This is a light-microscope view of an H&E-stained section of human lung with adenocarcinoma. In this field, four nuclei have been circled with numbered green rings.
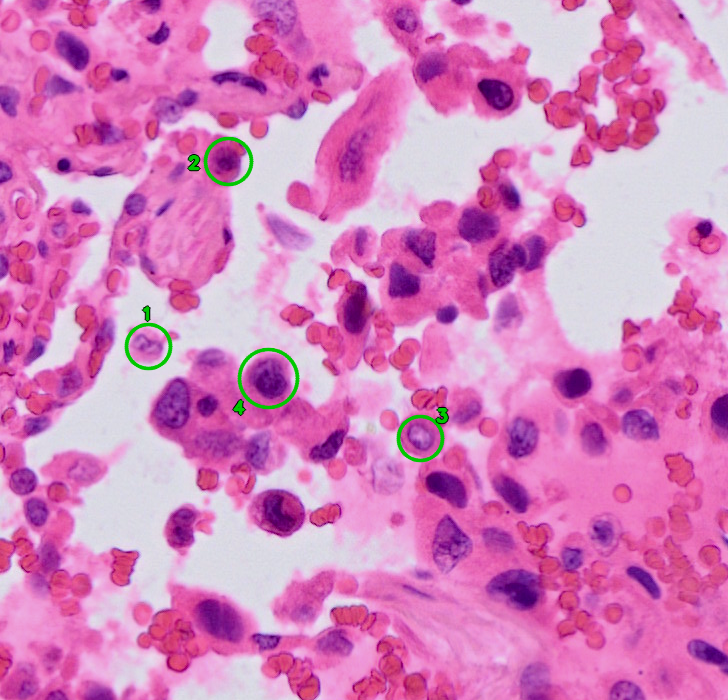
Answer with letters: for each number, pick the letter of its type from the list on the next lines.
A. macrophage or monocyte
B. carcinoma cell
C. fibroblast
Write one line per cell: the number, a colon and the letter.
1: A
2: A
3: A
4: B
